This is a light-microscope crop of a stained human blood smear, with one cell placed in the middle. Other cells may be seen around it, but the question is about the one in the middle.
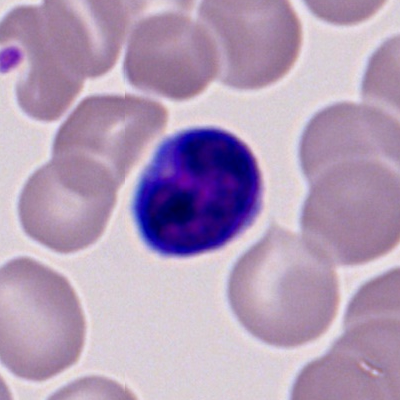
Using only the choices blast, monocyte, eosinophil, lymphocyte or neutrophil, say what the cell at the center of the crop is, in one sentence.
The single cell at the center of the crop is a lymphocyte.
